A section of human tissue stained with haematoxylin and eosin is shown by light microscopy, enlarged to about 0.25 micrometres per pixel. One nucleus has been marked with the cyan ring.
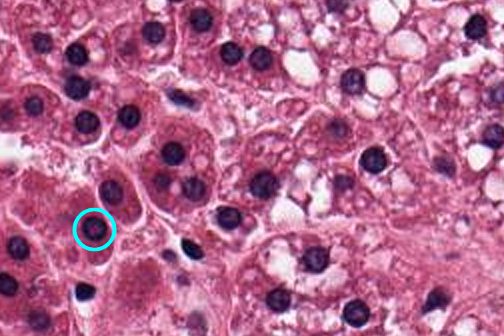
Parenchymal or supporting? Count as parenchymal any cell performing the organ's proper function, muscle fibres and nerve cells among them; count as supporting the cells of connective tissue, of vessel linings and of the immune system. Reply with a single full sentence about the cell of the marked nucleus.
To a parenchymal cell, namely an adrenal cortical cell, belongs the marked nucleus.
